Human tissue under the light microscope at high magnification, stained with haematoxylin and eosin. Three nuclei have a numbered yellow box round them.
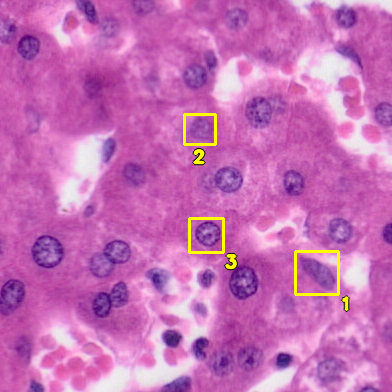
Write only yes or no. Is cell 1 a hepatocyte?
no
